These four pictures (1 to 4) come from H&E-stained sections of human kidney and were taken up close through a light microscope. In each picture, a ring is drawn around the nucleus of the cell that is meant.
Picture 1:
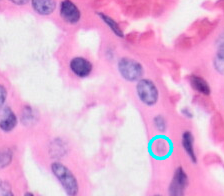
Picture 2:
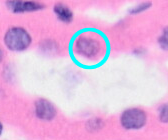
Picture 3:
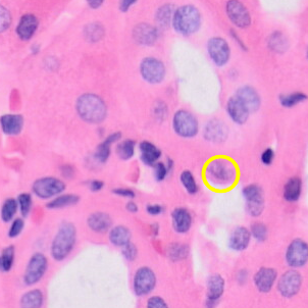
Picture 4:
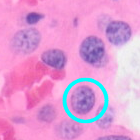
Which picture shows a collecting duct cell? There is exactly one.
1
